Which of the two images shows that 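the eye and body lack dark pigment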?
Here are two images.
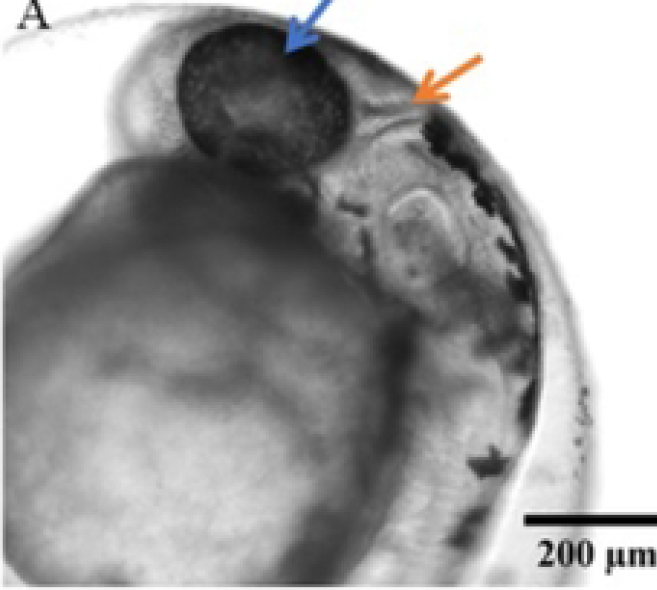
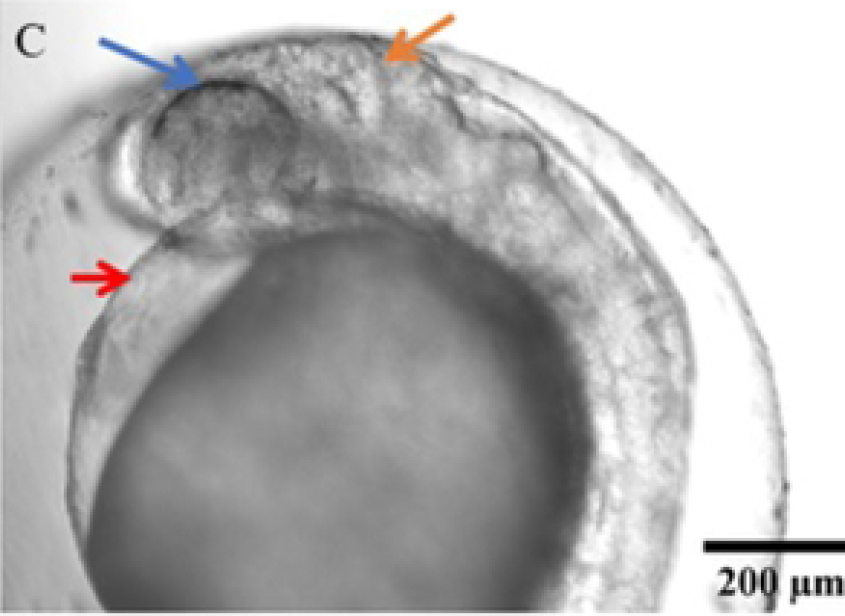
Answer: The second image.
